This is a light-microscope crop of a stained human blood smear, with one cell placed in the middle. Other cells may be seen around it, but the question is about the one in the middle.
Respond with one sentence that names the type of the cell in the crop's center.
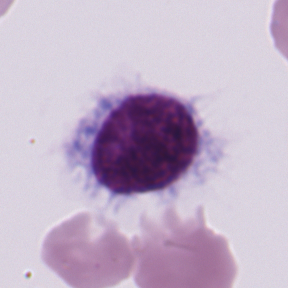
Here the cell in the middle is a hairy cell.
